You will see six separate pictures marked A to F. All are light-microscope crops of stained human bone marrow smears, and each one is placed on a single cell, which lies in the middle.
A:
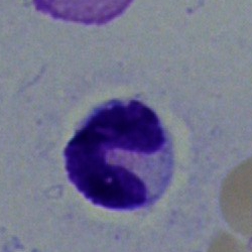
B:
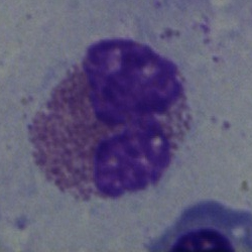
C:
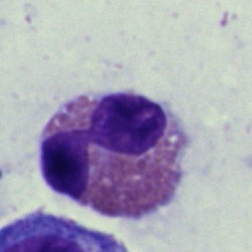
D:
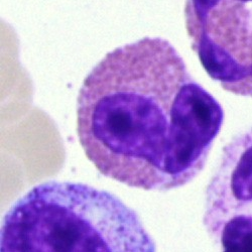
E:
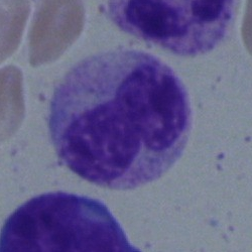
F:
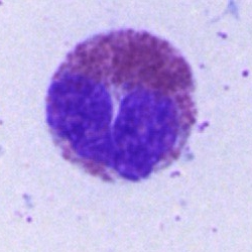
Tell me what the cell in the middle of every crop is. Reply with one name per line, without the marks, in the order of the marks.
band neutrophil
eosinophil
eosinophil
eosinophil
band neutrophil
eosinophil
